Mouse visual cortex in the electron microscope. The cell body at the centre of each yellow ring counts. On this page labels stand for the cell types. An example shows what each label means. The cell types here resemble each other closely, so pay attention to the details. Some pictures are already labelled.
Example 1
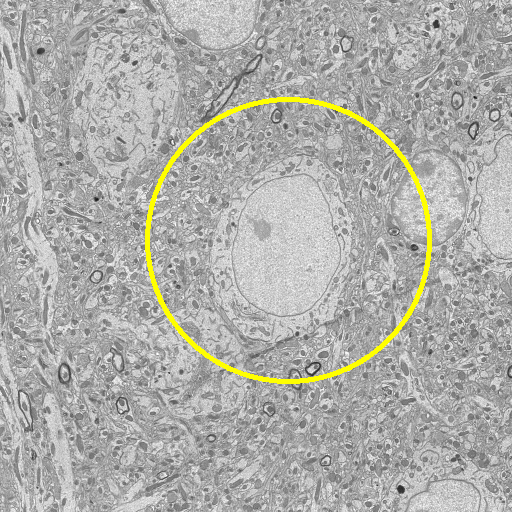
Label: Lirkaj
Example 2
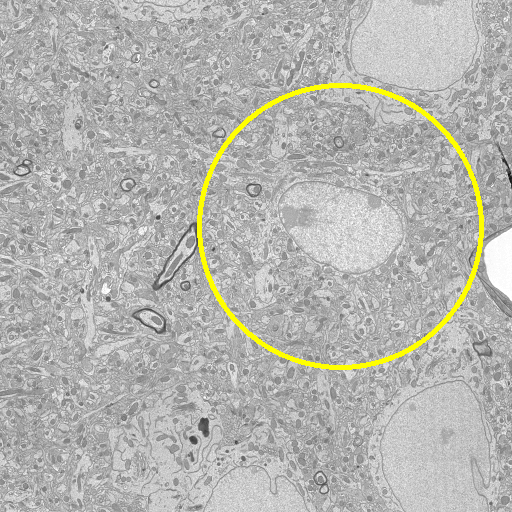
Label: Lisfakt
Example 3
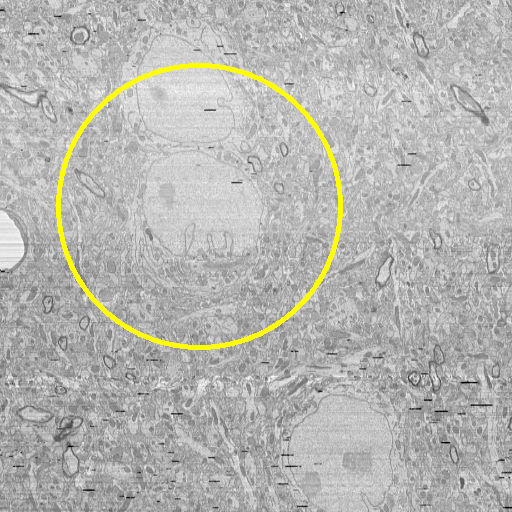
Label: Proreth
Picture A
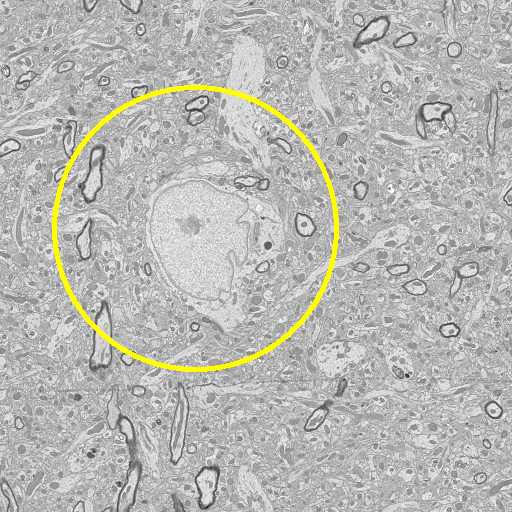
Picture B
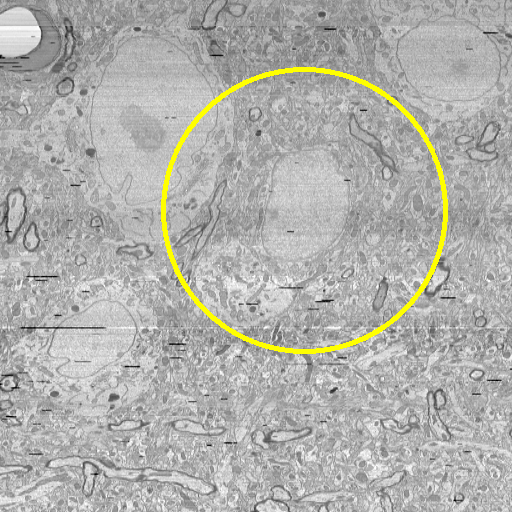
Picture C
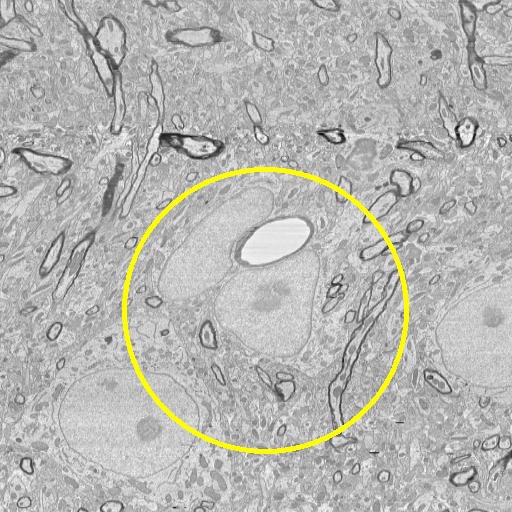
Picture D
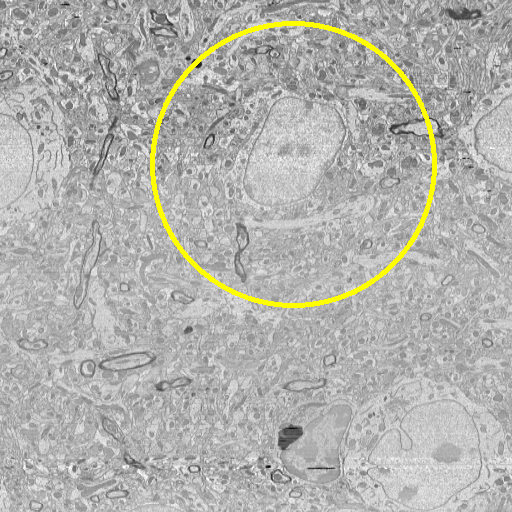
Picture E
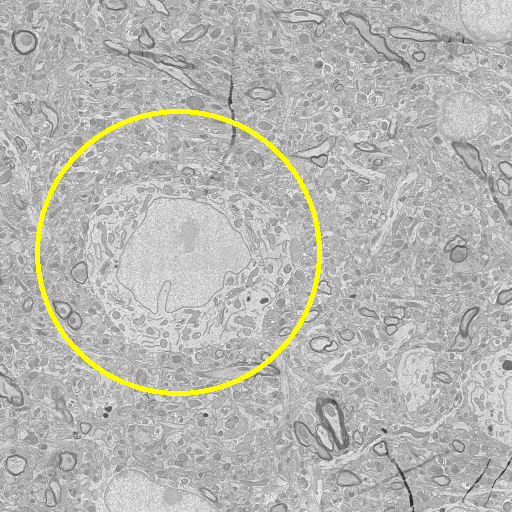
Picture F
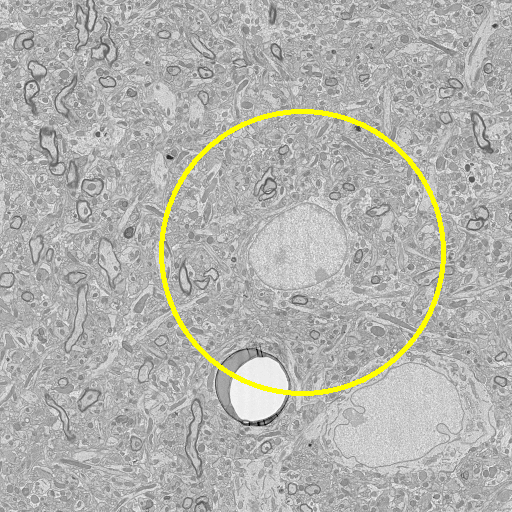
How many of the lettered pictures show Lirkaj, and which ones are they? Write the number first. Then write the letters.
0, none of them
